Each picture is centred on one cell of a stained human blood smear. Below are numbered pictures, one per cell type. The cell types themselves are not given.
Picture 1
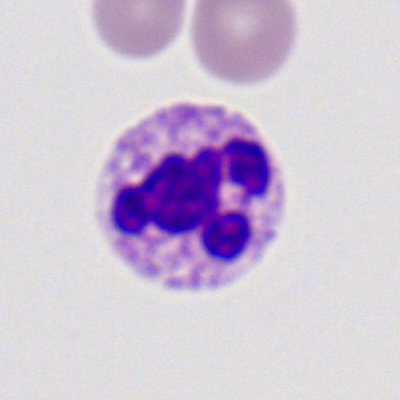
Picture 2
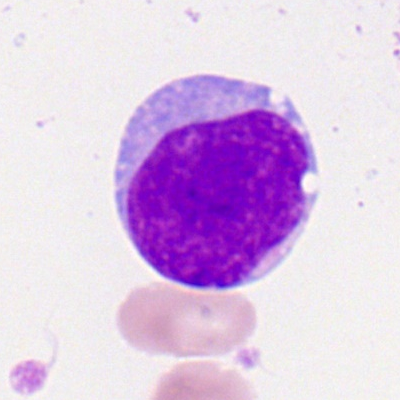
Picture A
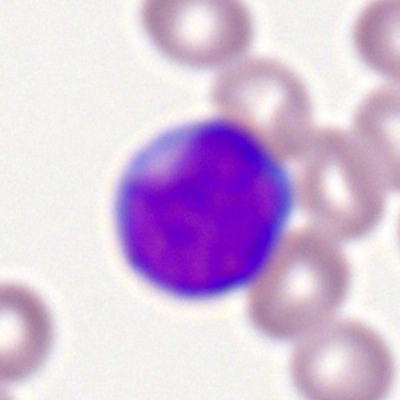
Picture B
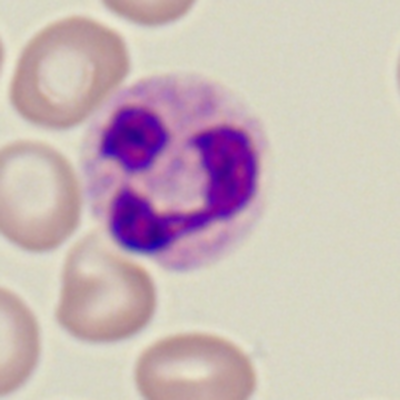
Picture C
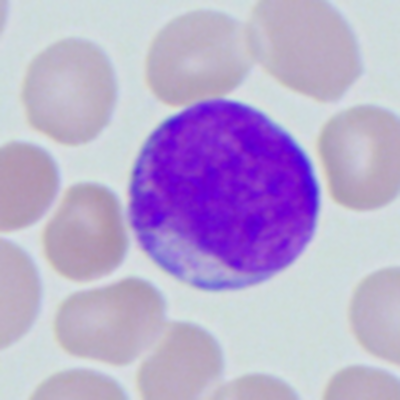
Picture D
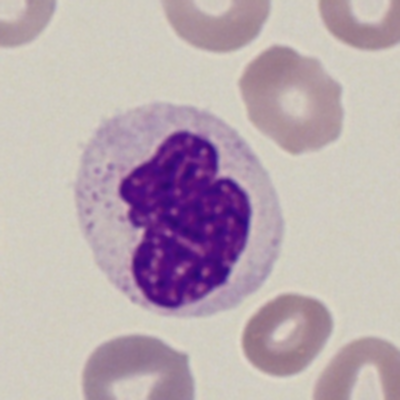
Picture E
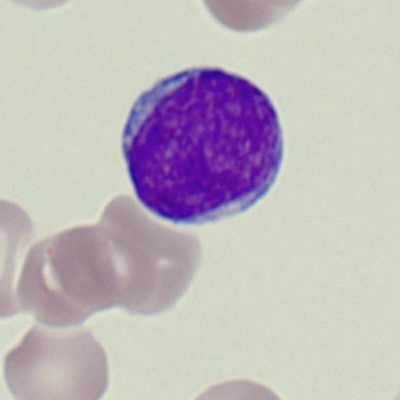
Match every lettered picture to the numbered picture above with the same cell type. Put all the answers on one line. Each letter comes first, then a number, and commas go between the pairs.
A 2, B 1, C 2, D 1, E 2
